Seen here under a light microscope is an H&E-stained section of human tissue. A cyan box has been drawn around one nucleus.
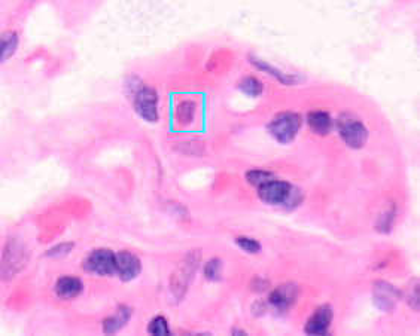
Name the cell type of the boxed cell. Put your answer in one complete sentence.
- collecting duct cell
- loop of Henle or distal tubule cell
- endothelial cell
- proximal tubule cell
Considered by cell type, the boxed cell is an endothelial cell.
